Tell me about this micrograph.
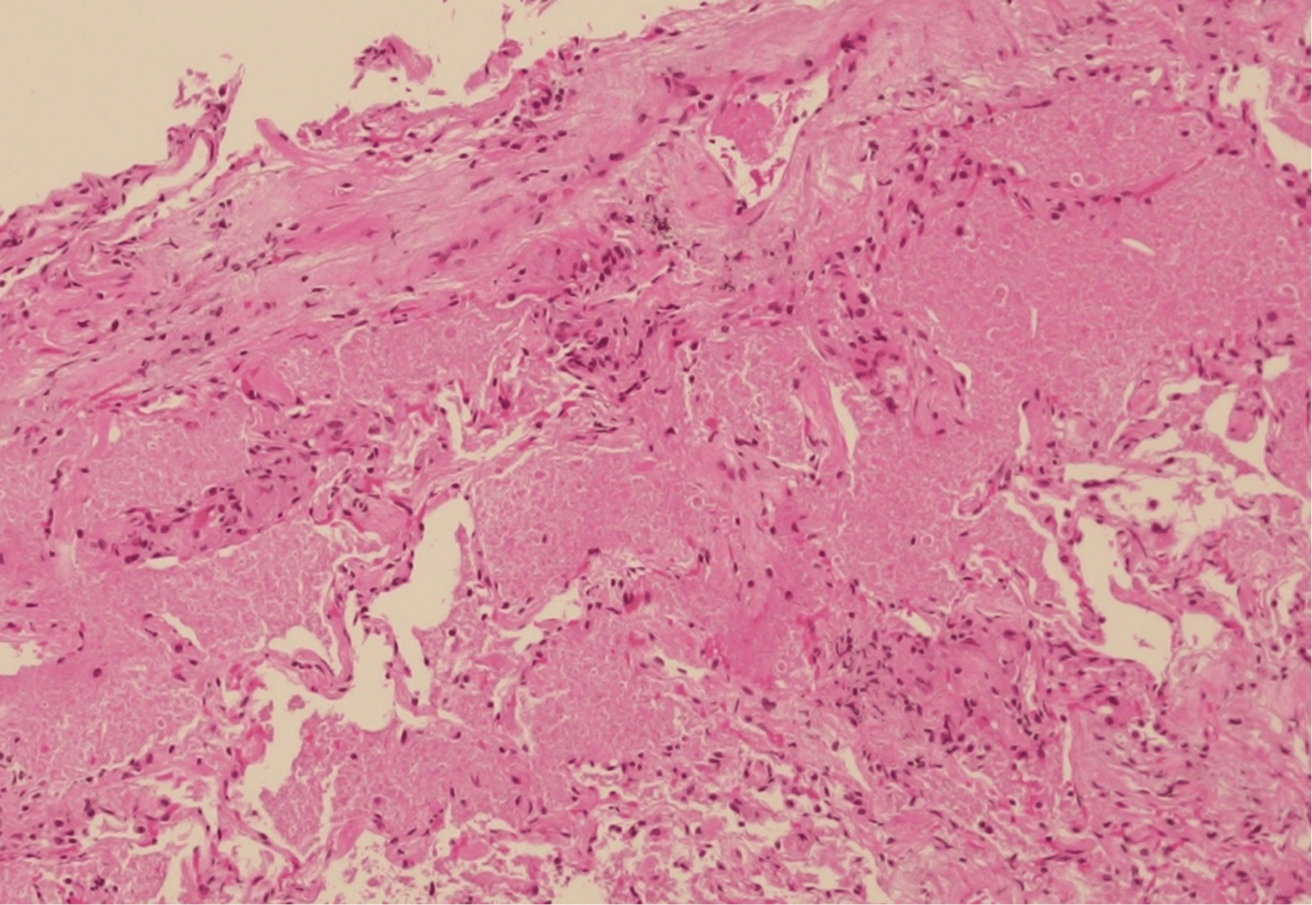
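Lung tissue in which most alveolar spaces are filled with pale pink, finely granular, acellular material. The septa are lined and supported by cells with small, dark, oval to elongated nuclei and scant pink cytoplasm. Along the upper edge, a denser band of pink fibrous tissue holds spindle-shaped nuclei. A few tiny black pigment particles lie within this tissue. Scattered clear clefts separate parts of the filling material from the septal walls. Inflammatory cells are few.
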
